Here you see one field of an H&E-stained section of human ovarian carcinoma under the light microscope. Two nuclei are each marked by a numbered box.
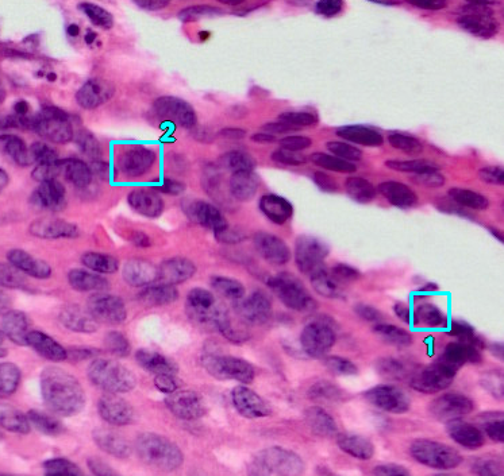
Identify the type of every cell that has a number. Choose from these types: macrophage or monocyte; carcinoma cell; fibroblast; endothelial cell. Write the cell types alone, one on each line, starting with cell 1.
macrophage or monocyte
carcinoma cell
